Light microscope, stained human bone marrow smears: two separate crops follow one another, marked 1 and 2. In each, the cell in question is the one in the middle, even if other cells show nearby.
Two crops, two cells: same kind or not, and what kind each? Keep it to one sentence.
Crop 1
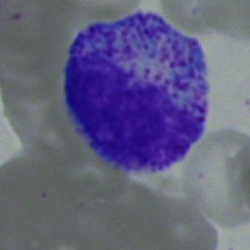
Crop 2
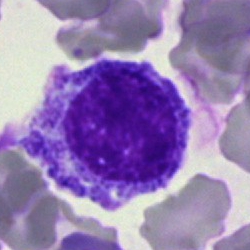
Yes, the two central cells, one per crop, are myelocytes.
